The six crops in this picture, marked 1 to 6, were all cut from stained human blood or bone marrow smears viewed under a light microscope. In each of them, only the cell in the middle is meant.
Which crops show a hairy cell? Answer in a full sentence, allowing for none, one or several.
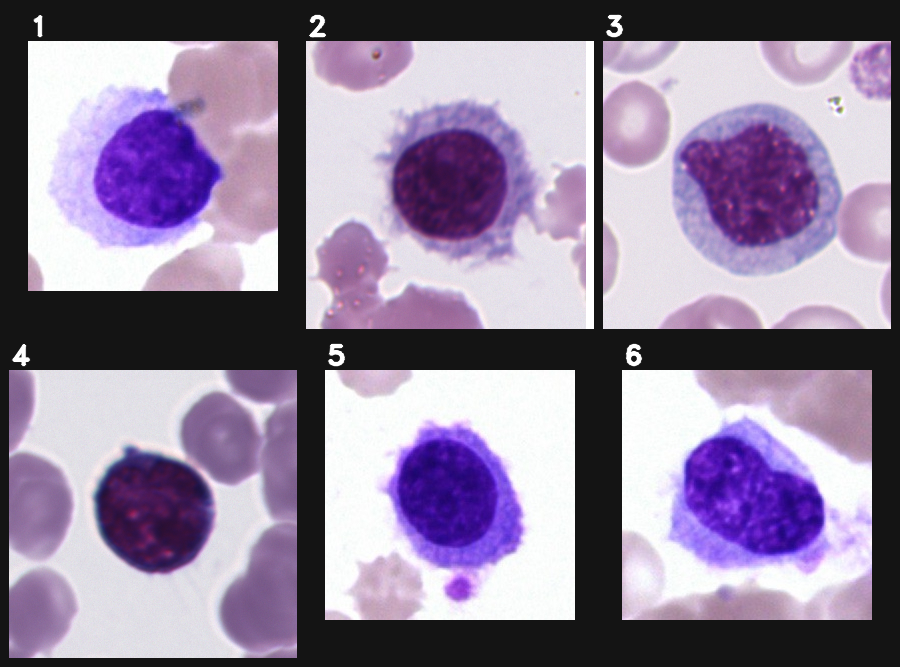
Crops 1, 2, 5 and 6 display hairy cells in the centre of the field.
